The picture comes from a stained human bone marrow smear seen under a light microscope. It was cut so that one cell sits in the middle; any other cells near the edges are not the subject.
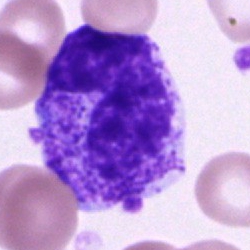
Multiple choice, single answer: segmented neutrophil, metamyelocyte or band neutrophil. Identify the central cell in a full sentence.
Located at the centre of the crop is a metamyelocyte.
